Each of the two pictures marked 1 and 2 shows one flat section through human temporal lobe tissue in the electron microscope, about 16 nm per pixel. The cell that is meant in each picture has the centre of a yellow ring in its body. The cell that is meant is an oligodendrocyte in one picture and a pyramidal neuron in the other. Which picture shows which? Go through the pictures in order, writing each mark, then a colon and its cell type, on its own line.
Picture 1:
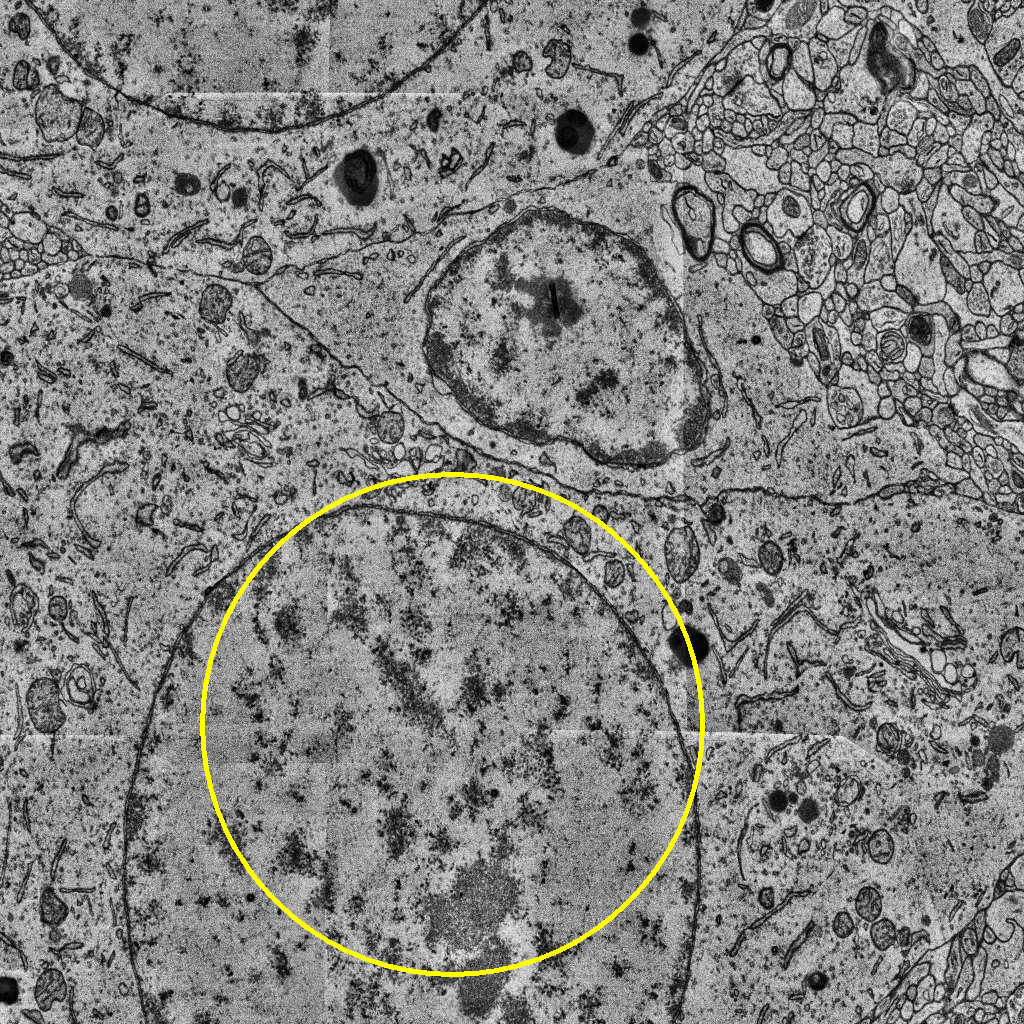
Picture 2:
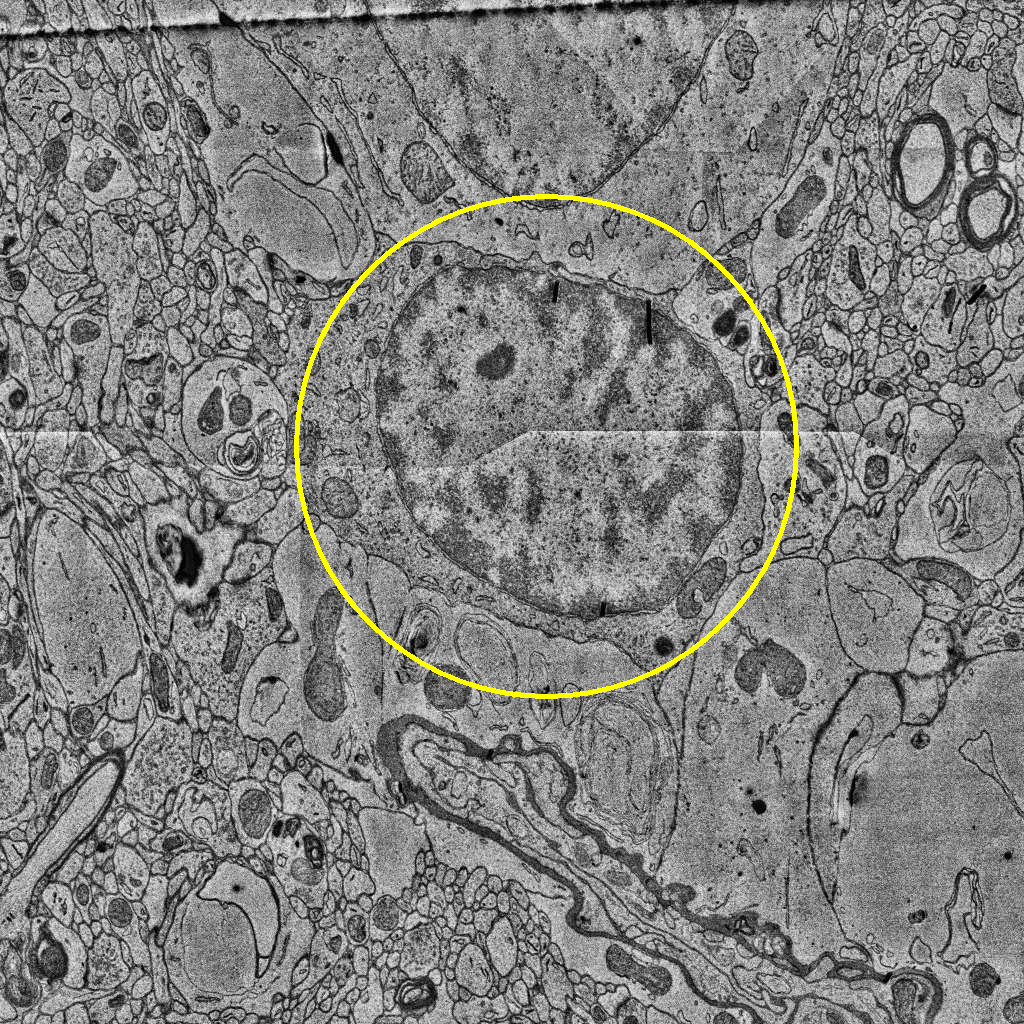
1: pyramidal neuron
2: oligodendrocyte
